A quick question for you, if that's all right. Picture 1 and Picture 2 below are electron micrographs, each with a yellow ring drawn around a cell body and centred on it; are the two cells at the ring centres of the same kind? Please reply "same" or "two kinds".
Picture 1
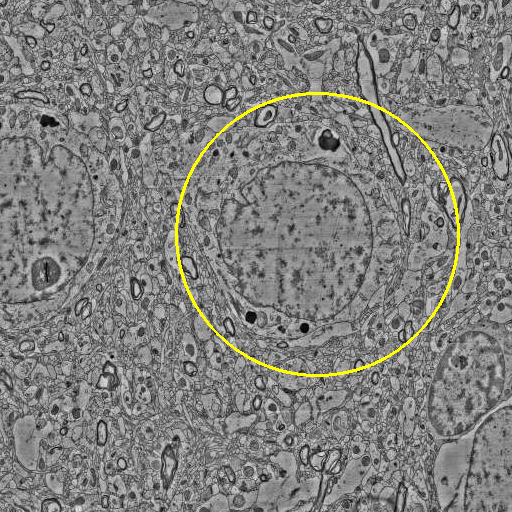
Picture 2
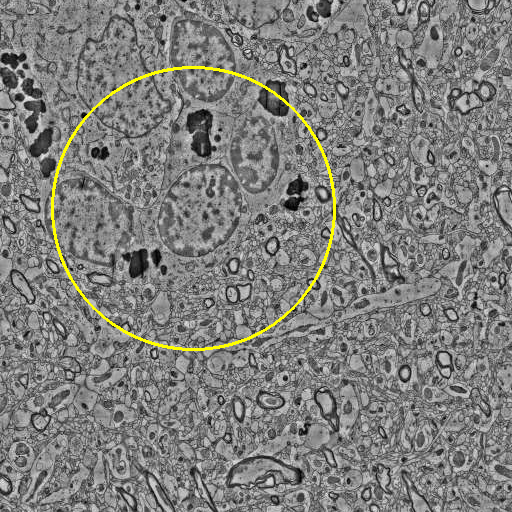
two kinds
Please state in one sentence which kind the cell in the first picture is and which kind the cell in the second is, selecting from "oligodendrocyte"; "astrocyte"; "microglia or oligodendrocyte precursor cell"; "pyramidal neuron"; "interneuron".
The first ringed cell is a pyramidal neuron, the second ringed cell an oligodendrocyte.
